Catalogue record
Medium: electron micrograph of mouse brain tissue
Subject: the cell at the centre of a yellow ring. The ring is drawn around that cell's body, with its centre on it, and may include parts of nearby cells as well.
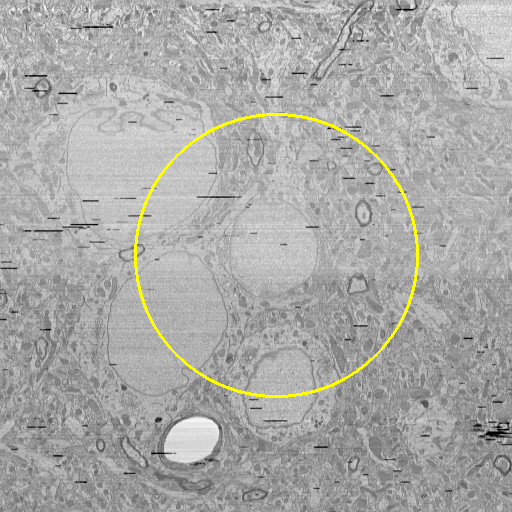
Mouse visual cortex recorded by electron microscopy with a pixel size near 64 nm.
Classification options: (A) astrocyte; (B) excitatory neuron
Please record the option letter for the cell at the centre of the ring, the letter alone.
A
